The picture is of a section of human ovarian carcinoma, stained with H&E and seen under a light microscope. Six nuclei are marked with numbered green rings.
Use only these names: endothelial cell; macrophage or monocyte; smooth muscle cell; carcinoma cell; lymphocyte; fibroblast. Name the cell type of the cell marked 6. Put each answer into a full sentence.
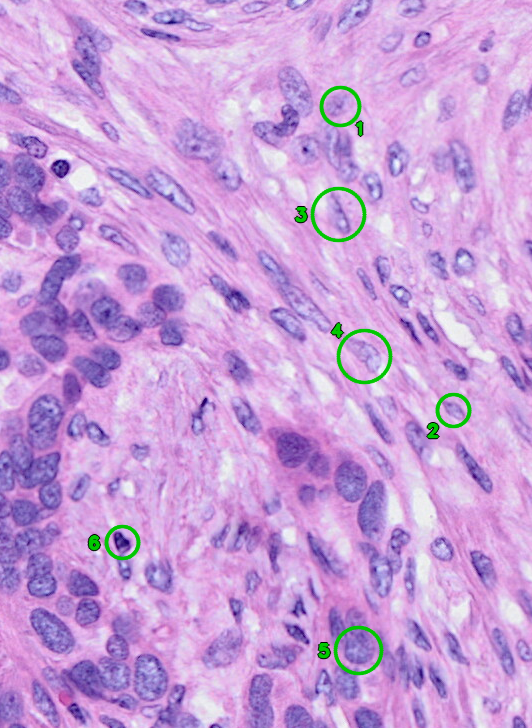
The mark numbered 6 indicates the nucleus of a lymphocyte.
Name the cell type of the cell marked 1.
In this section, the cell numbered 1 is a fibroblast.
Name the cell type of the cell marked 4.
Cell 4 of the marked set is a fibroblast.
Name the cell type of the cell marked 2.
The one labeled 2 is a fibroblast, to put it simply.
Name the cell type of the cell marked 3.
In this section, number 3 marks a fibroblast.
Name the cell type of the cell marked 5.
The cell bearing label 5 corresponds to a carcinoma cell.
